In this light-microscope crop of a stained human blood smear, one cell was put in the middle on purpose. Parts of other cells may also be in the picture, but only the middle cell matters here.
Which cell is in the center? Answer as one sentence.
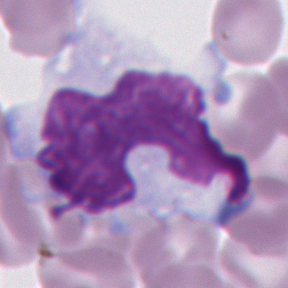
To answer, the cell in the center of the crop is a monocyte.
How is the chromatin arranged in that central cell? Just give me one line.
Coarse clumps are absent, and the chromatin is fine throughout.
